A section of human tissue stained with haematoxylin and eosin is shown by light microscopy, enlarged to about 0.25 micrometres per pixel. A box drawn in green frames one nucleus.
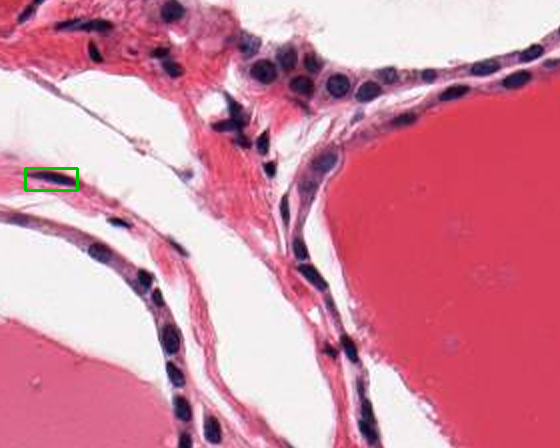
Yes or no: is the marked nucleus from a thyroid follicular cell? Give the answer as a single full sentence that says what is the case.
No, it is not a thyroid follicular cell but a supporting cell to which the marked nucleus is assigned.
